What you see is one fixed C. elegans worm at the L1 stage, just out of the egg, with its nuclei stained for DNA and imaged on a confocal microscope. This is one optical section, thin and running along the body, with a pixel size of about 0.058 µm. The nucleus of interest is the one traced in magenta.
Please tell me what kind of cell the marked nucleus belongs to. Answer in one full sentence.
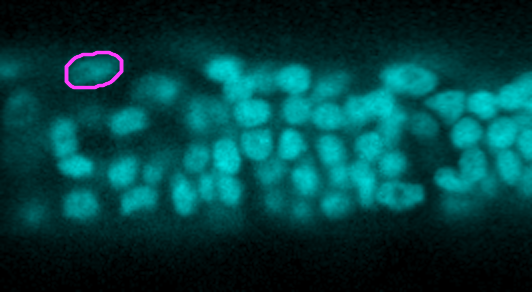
This is the nucleus of a body wall muscle cell.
